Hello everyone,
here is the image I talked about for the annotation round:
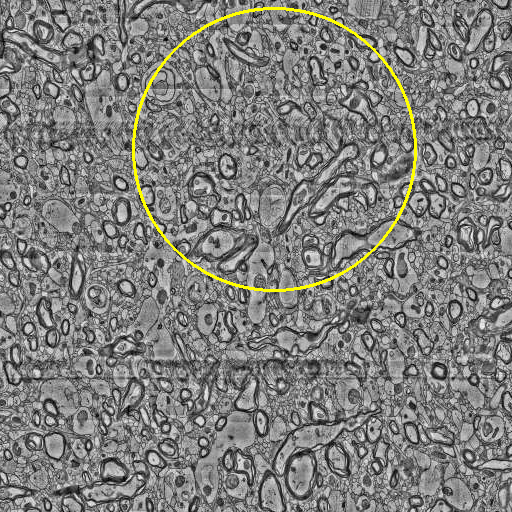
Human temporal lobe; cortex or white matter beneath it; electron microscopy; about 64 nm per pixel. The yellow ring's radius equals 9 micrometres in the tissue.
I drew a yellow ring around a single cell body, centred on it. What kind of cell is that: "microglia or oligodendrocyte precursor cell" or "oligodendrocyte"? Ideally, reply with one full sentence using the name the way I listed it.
The cell your yellow ring is centred on is an oligodendrocyte, going by your list.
